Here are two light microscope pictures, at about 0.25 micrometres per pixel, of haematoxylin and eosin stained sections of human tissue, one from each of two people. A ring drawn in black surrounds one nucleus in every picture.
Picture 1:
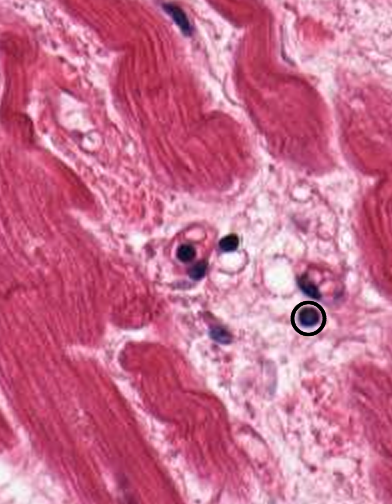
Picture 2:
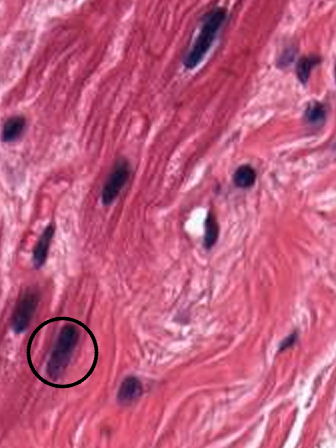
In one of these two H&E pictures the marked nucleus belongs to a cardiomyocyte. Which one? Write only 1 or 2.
2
